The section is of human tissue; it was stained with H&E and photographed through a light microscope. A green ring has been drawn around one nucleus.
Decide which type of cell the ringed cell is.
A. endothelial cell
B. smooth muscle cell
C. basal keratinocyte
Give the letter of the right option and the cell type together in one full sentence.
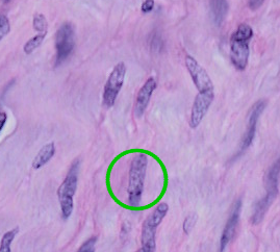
The correct option, B, describes the ringed cell as a smooth muscle cell.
